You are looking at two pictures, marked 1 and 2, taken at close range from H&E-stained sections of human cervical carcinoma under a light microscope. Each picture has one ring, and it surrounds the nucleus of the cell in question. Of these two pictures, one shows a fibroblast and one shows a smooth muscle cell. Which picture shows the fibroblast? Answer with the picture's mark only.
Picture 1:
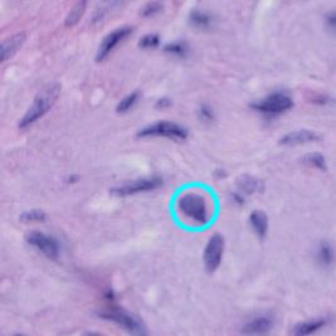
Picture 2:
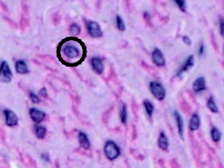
1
